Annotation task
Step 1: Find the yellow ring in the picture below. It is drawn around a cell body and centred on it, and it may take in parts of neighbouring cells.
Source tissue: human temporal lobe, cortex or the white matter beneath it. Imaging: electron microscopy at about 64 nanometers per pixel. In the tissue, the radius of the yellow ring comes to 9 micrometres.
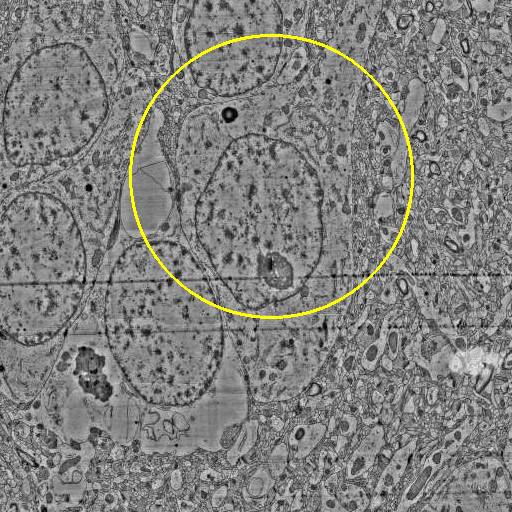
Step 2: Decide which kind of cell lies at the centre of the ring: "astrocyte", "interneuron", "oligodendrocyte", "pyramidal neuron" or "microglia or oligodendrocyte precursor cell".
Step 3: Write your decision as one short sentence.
The kind of cell at the ring's centre is a pyramidal neuron.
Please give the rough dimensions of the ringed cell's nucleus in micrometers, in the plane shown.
In this plane the nucleus measures roughly 11 by 8 micrometers.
